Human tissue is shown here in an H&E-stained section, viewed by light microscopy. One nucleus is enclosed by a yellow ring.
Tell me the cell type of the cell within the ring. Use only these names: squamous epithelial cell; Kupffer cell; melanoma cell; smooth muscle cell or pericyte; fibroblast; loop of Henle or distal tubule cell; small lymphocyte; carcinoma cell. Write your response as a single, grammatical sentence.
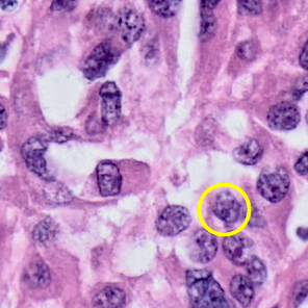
As far as its identity is concerned, the cell within the ring is a melanoma cell.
